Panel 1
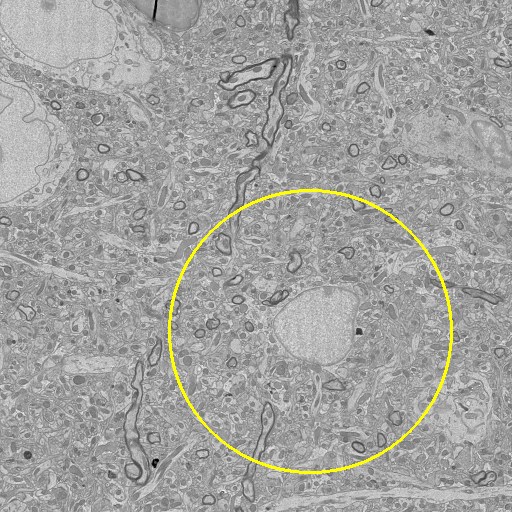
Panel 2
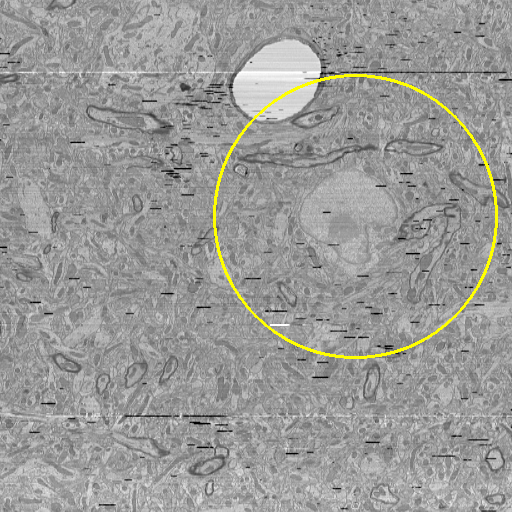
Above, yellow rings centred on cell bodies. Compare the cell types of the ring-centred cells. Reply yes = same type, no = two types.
yes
